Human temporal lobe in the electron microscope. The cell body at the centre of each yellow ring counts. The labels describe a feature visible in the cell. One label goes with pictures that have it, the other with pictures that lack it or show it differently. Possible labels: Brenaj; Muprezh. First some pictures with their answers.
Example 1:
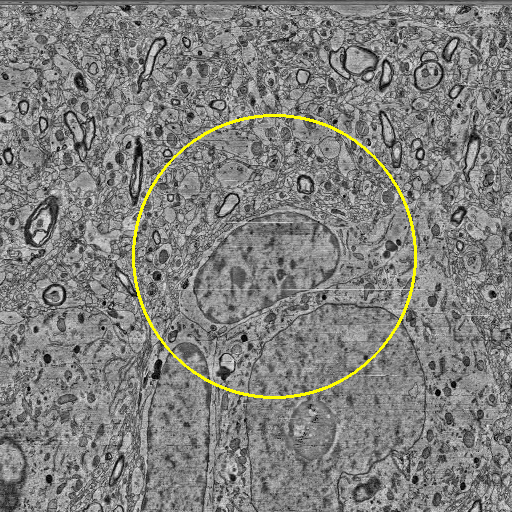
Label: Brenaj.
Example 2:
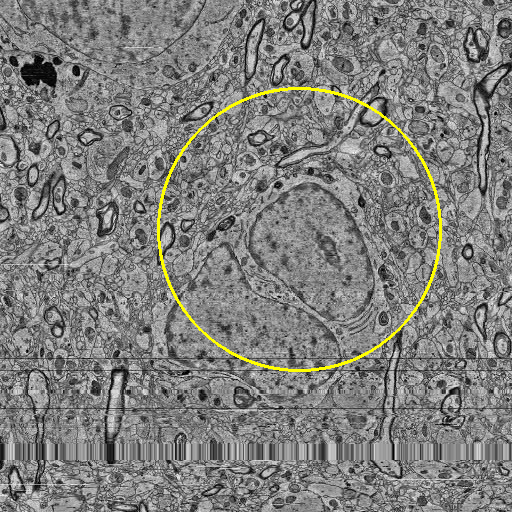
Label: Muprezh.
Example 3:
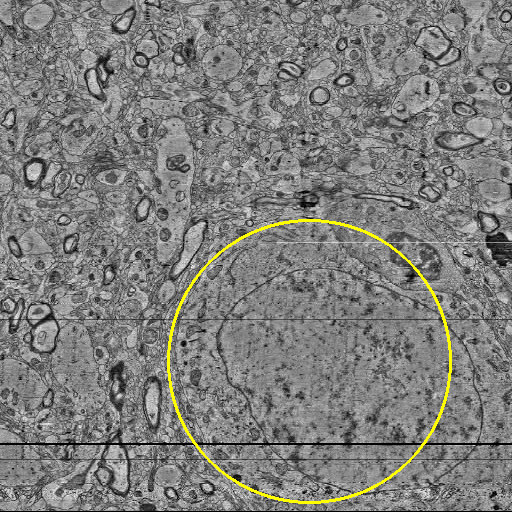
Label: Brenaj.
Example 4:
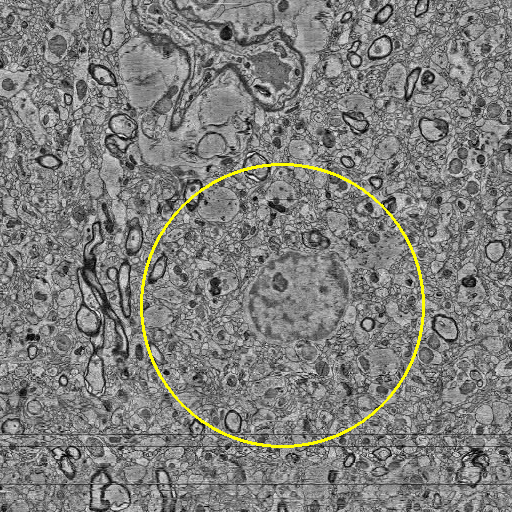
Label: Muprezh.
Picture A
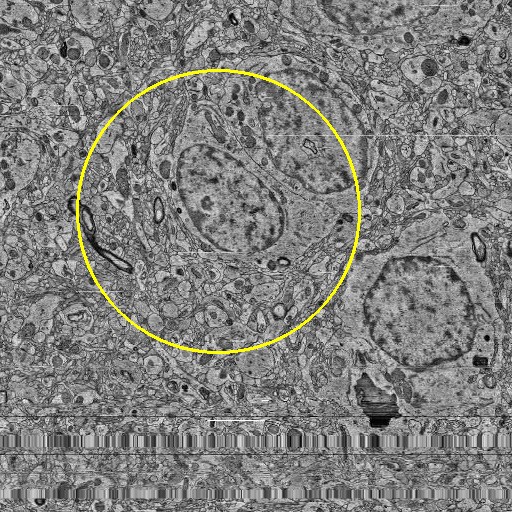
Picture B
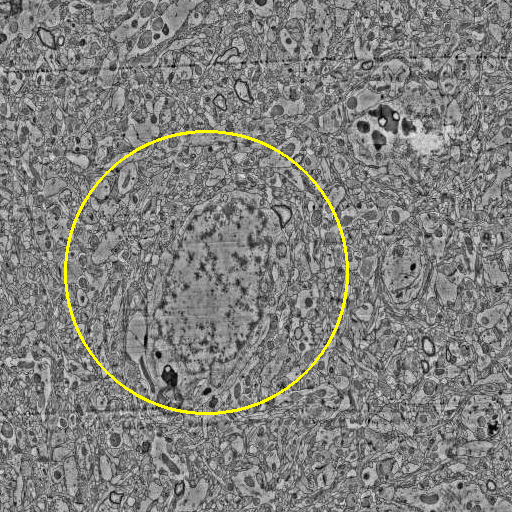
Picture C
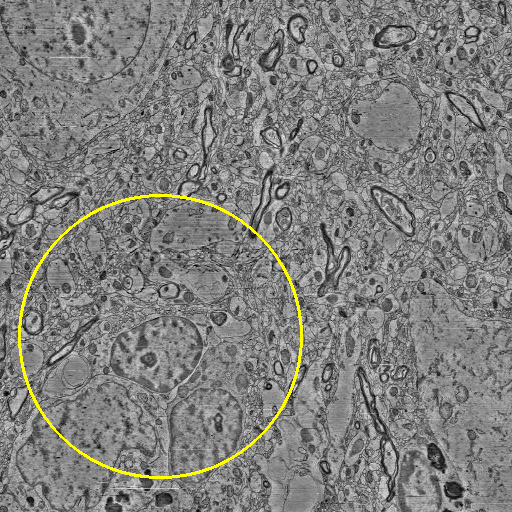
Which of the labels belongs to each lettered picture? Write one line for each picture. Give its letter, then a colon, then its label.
A: Muprezh.
B: Brenaj.
C: Muprezh.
